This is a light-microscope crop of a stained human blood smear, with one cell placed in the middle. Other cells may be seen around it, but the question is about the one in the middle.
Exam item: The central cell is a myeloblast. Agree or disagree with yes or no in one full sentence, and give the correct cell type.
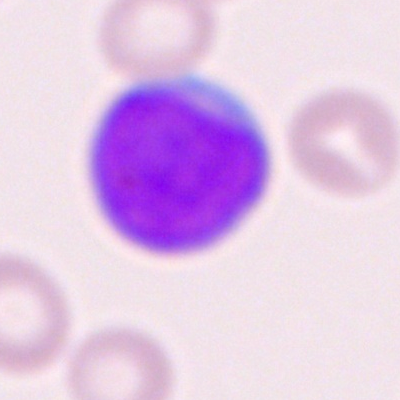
Yes, placed in the middle of the crop is a myeloblast.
